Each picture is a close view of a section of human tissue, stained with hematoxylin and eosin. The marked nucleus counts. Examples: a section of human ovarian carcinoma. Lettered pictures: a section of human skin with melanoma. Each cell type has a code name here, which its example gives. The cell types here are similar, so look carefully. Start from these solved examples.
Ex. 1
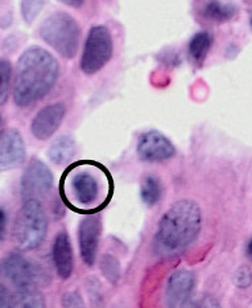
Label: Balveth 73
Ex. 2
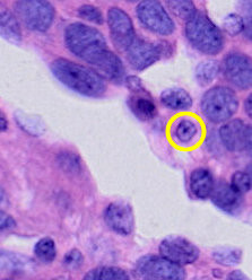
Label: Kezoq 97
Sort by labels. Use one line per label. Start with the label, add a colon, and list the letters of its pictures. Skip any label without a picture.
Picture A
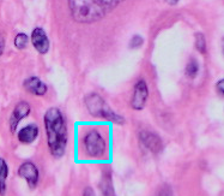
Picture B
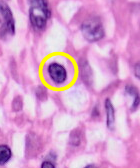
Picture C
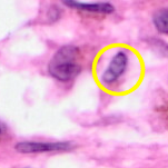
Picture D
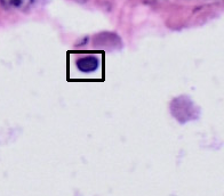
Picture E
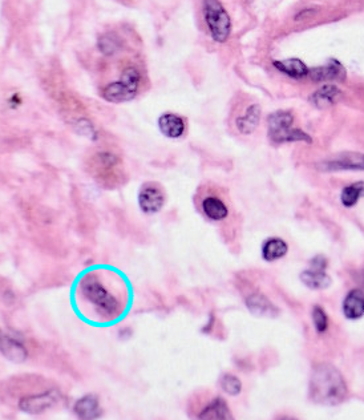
Balveth 73: B, D
Kezoq 97: A, C, E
